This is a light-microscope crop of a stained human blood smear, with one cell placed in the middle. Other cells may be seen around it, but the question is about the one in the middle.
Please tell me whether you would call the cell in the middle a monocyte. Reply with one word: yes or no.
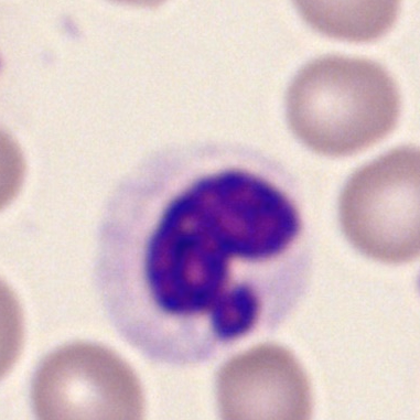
no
